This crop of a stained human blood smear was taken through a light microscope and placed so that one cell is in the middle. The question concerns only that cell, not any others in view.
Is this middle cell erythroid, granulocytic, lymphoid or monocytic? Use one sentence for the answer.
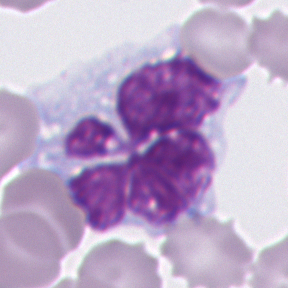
In lineage, the cell at the crop's center is monocytic.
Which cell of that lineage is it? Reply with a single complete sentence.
The cell centered in this field of view is a monocyte.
